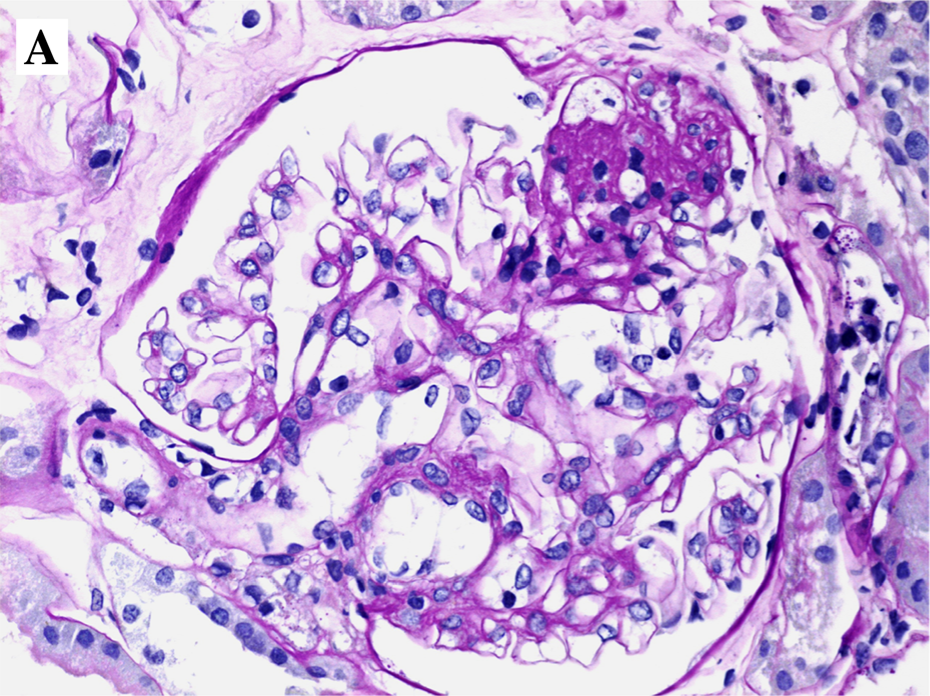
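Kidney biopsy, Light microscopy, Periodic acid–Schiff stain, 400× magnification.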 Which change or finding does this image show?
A: segmental glomerular scarring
